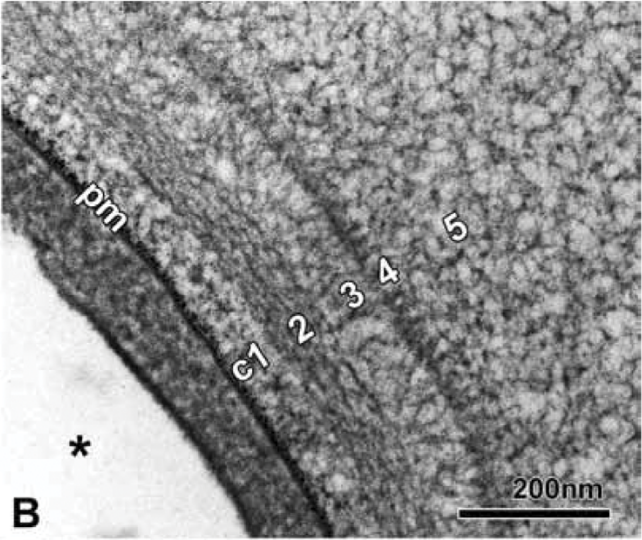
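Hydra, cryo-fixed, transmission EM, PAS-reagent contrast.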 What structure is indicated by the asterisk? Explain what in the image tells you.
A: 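The asterisk lies in an empty, electron-lucent space. The space is bounded by a dark membrane line.
Hence: vacuole.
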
